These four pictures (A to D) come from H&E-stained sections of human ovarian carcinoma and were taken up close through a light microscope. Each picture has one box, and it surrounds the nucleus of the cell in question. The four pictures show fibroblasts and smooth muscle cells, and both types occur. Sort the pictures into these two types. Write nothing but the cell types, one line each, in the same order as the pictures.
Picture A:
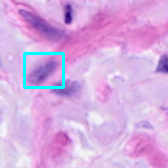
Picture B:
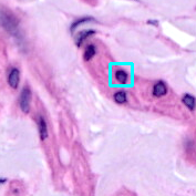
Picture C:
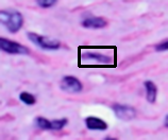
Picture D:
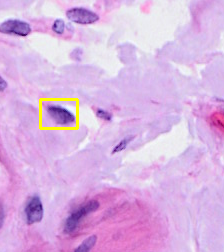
smooth muscle cell
smooth muscle cell
fibroblast
fibroblast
